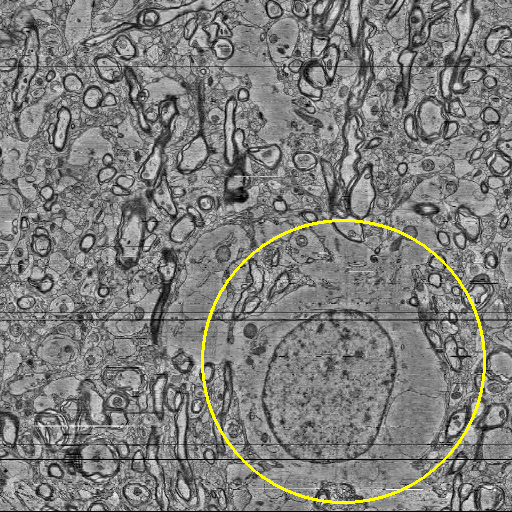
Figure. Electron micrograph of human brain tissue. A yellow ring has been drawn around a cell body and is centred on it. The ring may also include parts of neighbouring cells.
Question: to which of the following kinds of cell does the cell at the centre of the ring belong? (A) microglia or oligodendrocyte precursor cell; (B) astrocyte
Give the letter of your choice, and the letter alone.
B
